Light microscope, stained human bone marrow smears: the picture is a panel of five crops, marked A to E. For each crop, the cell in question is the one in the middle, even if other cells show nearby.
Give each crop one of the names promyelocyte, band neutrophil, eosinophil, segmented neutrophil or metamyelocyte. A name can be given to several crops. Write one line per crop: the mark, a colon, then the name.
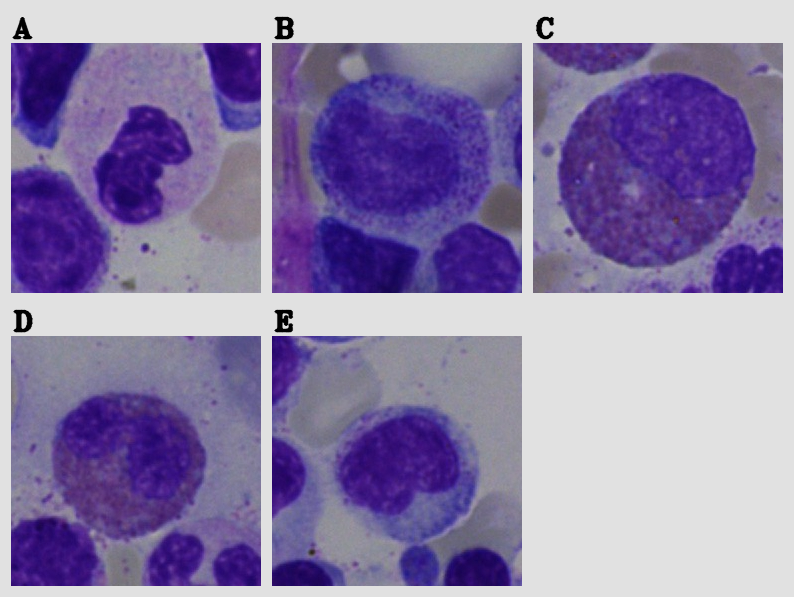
A: band neutrophil
B: metamyelocyte
C: eosinophil
D: eosinophil
E: metamyelocyte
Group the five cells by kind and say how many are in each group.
metamyelocyte: 2
eosinophil: 2
band neutrophil: 1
